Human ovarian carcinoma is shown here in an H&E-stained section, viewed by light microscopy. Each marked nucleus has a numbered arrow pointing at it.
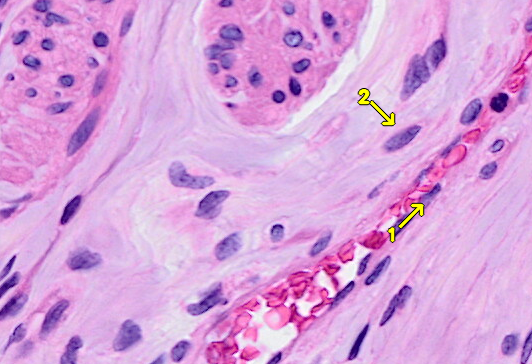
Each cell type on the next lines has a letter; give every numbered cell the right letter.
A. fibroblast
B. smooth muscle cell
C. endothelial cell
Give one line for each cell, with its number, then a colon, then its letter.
1: C
2: B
